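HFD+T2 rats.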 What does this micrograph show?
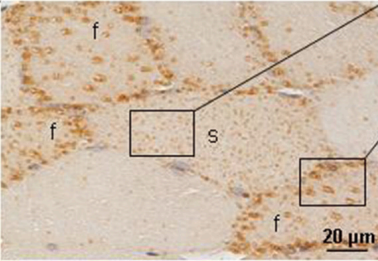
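The fibers are large, polygonal profiles with pale beige cytoplasm, separated by thin boundaries. Brown round dots and small rings are scattered across the fibers, with denser clusters near the fiber margins. Some fibers show many fine brown dots, while others contain fewer but larger brown rings. A few small bluish nuclei lie at the edges of the fibers.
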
